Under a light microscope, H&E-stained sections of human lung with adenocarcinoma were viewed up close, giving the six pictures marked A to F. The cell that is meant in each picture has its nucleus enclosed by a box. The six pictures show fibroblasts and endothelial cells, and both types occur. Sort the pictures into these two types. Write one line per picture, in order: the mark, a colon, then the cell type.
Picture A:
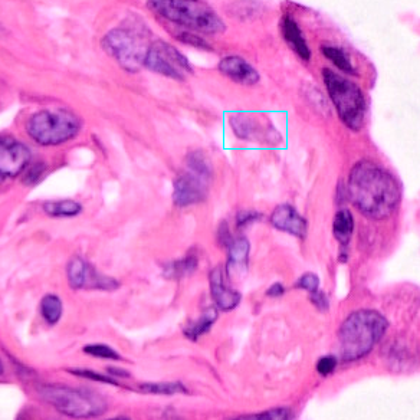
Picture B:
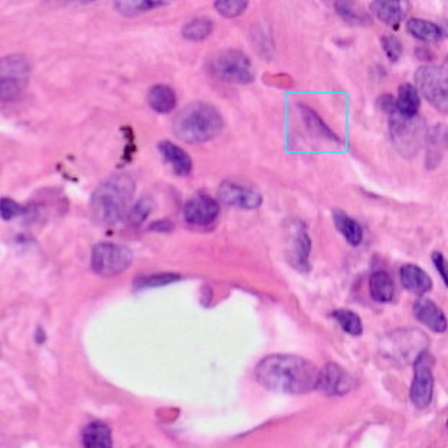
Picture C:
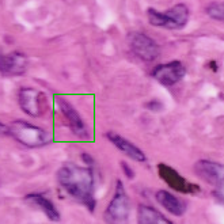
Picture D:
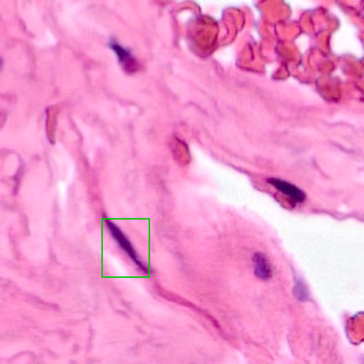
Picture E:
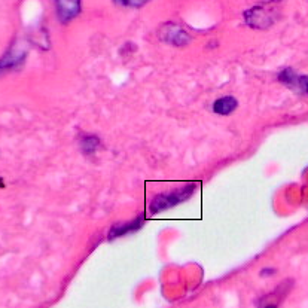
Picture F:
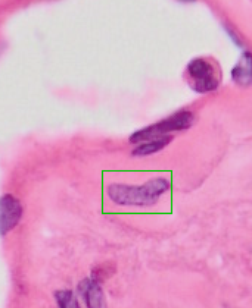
A: fibroblast
B: endothelial cell
C: endothelial cell
D: endothelial cell
E: endothelial cell
F: fibroblast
